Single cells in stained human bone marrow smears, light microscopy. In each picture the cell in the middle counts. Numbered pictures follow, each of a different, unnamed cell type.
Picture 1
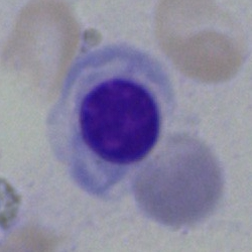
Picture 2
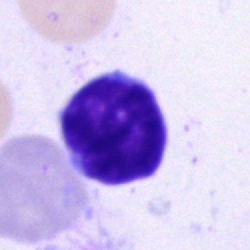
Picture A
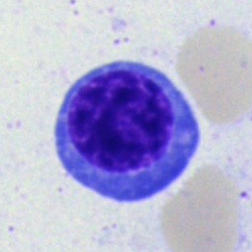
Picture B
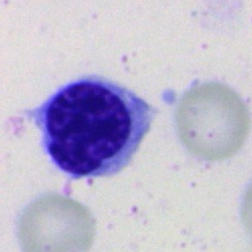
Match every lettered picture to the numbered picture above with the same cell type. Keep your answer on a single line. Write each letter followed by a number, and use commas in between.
A 1, B 1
